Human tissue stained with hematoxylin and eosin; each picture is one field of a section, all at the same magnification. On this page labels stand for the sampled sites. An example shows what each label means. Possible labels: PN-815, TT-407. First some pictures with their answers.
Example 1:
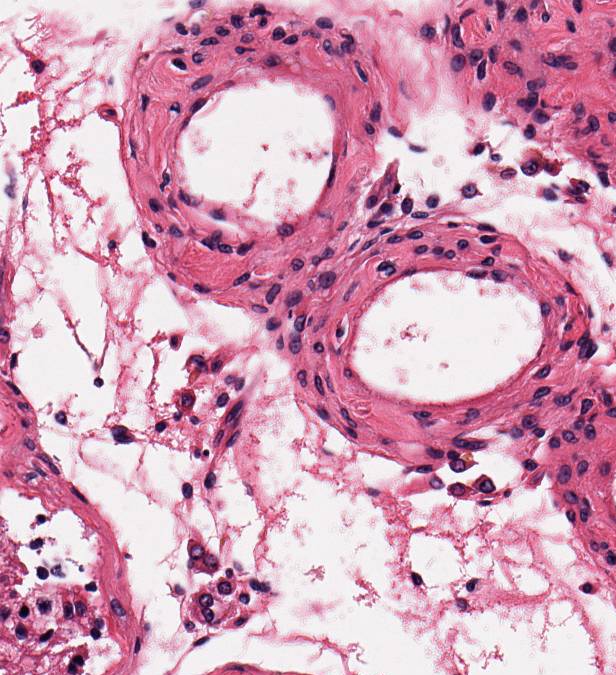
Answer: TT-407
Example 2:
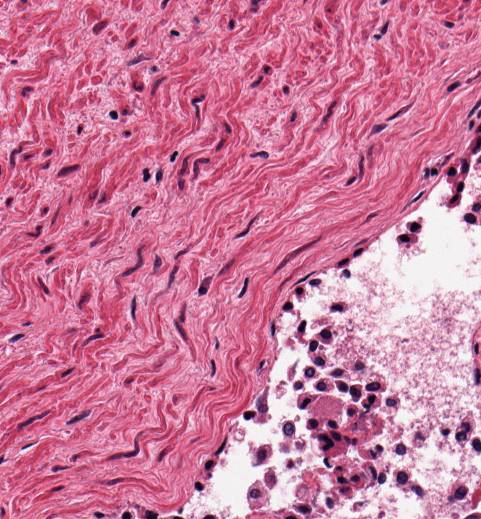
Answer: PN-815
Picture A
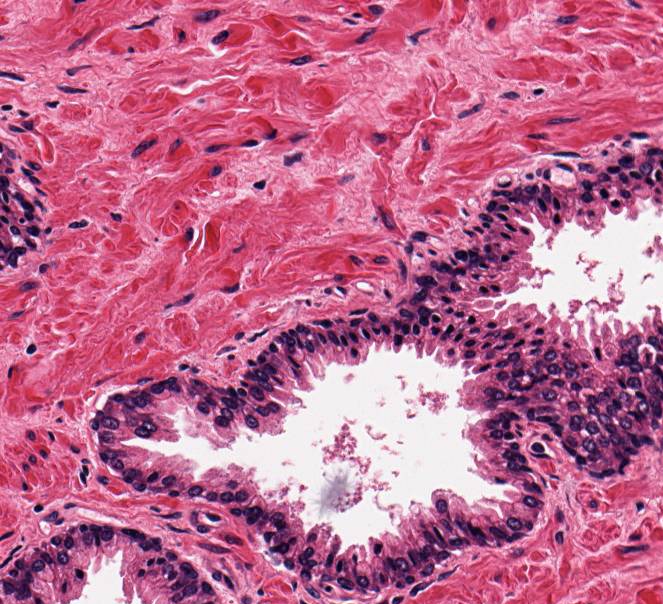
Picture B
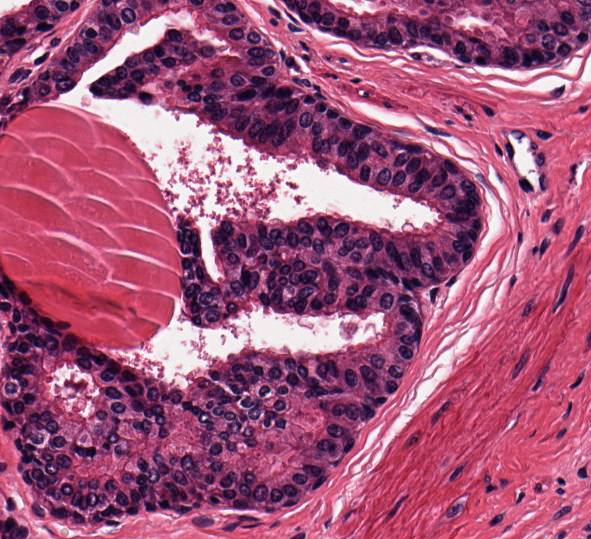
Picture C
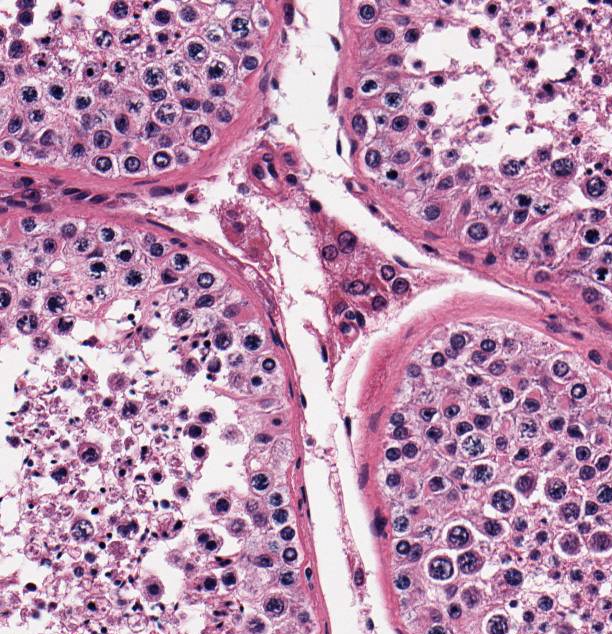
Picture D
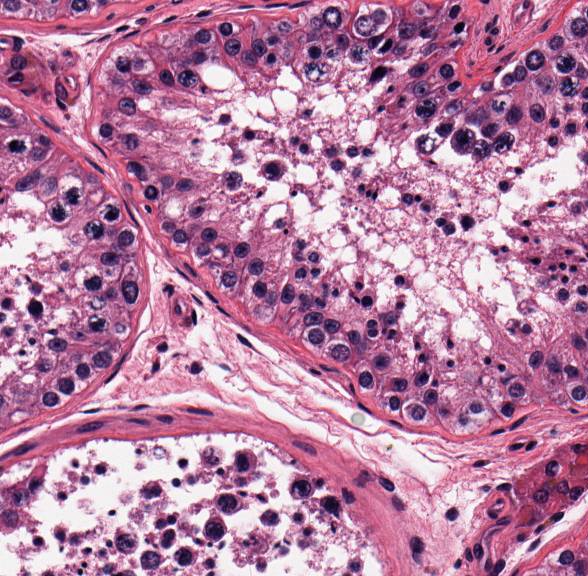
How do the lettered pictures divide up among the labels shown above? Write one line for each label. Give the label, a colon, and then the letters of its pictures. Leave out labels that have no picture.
PN-815: A, B
TT-407: C, D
